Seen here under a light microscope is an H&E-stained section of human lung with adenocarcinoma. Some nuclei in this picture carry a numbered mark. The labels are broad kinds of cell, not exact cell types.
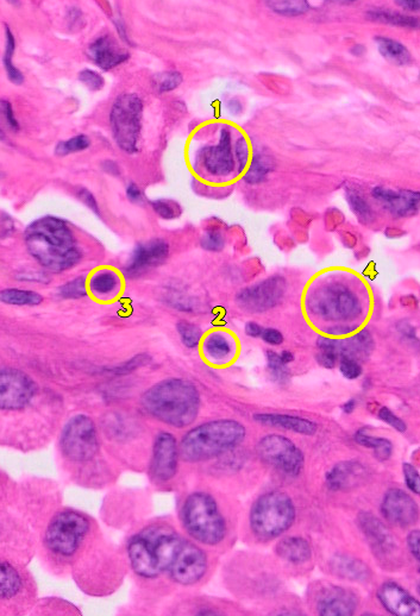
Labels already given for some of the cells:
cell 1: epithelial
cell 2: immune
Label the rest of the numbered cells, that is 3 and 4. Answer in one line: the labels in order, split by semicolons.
immune; epithelial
